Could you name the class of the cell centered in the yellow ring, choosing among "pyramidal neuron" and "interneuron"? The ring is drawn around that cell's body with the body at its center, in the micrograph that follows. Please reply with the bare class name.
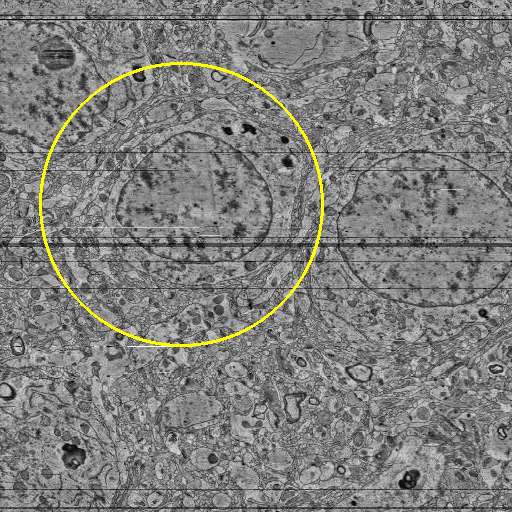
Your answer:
pyramidal neuron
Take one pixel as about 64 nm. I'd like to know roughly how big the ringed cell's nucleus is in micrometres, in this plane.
In this plane, approximately 9 micrometres across.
